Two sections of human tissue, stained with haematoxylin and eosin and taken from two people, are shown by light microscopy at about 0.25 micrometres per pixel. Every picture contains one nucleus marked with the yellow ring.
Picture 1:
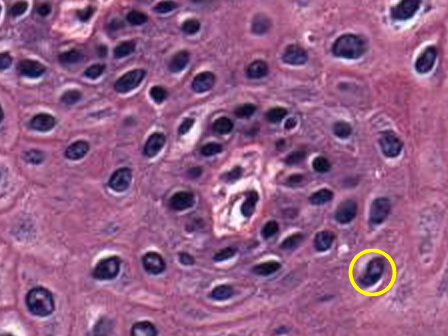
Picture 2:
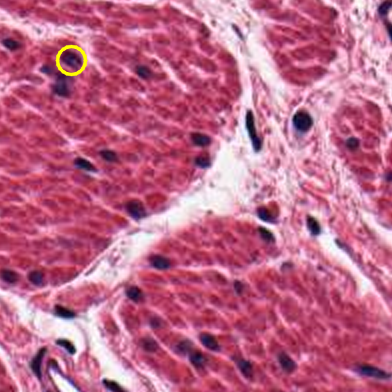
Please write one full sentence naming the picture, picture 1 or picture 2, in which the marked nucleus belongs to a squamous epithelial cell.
Of the two marked nuclei, the one in picture 1 belongs to a squamous epithelial cell.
